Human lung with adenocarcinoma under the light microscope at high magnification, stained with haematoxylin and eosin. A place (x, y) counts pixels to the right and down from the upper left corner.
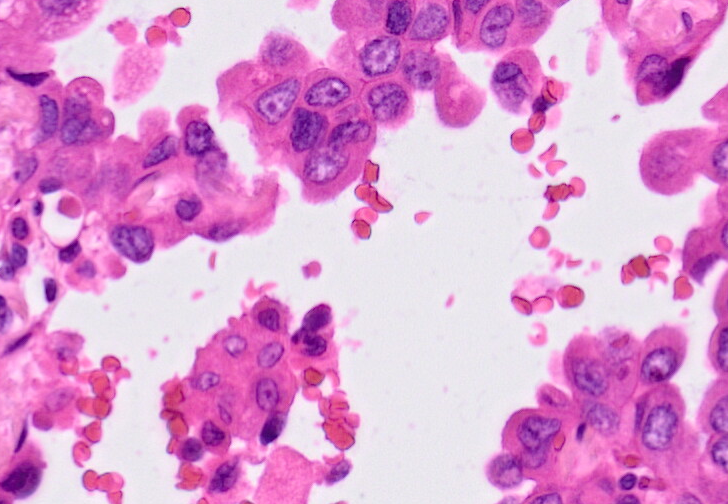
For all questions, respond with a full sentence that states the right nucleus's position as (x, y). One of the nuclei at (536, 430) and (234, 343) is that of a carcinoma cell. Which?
The nucleus at (536, 430), rather than the other, belongs to a carcinoma cell.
